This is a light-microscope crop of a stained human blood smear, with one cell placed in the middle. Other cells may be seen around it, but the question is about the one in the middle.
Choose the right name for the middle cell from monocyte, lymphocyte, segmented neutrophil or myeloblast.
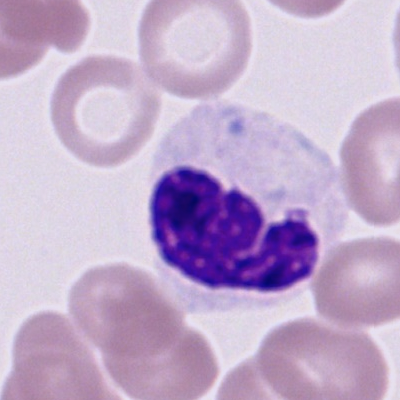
segmented neutrophil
